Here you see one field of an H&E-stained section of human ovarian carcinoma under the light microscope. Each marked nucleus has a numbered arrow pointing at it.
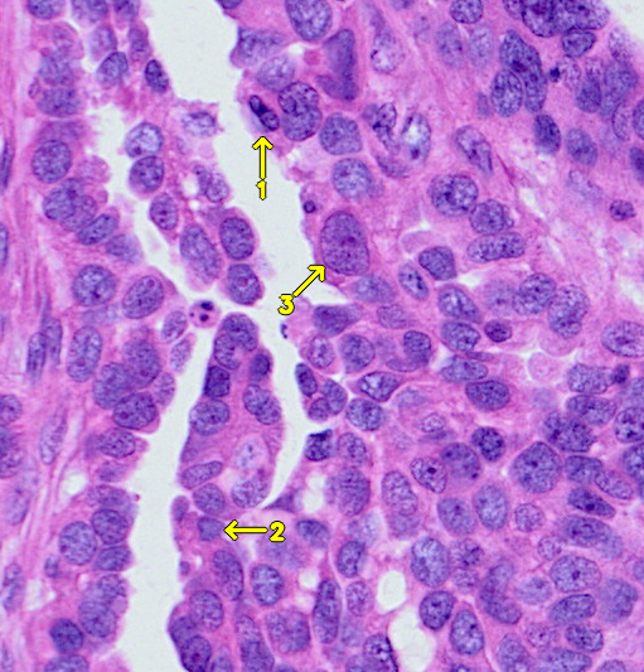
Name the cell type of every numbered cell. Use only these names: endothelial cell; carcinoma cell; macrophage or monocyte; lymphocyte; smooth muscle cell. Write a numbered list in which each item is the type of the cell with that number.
1. macrophage or monocyte
2. carcinoma cell
3. carcinoma cell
